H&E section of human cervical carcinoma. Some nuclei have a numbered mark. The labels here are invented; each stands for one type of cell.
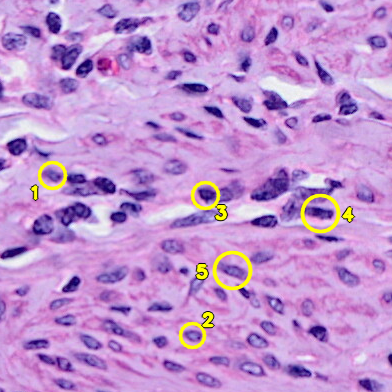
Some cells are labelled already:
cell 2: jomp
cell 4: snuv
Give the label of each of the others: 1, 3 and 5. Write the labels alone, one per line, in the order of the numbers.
snuv
snuv
jomp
